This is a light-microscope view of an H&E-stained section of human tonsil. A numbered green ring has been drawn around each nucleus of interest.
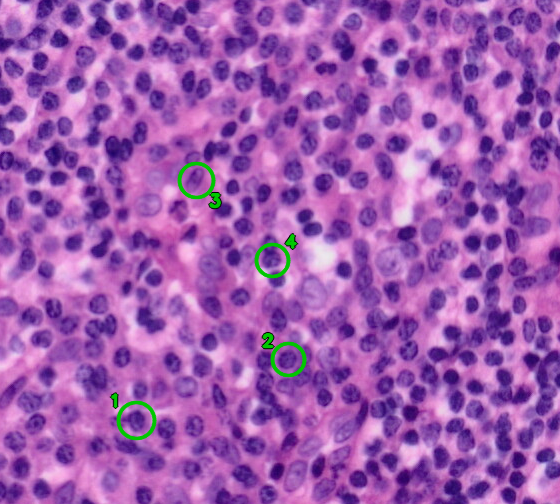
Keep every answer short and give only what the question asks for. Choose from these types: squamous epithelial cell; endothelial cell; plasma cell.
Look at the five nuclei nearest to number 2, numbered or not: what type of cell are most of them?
squamous epithelial cell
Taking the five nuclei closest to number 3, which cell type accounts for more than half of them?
endothelial cell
